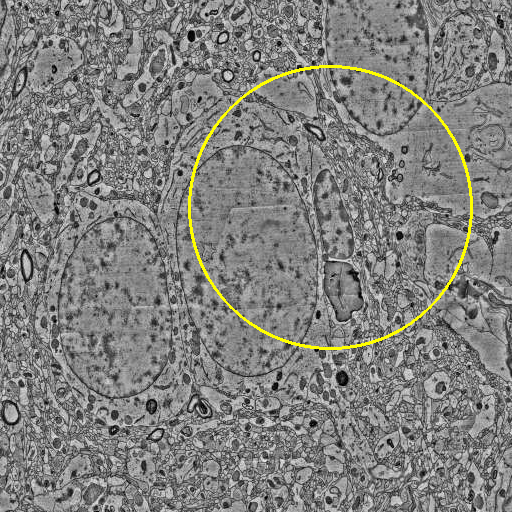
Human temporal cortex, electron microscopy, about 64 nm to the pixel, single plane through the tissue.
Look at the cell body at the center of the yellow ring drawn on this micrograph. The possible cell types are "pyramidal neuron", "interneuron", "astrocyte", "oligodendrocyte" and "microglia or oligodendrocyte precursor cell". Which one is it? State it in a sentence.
The cell in the middle of the ring is a microglial cell or oligodendrocyte precursor cell.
